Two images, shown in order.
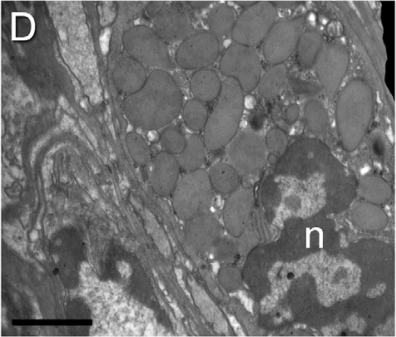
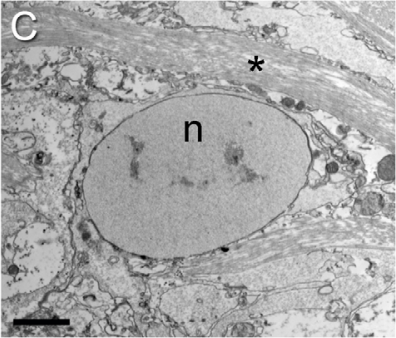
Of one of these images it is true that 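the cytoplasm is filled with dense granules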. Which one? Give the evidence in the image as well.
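First image: many large dark oval granules crowd the cytoplasm. Second image: a thin rim of pale cytoplasm around a large round nucleus, without granules.
Conclusion: the first image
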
